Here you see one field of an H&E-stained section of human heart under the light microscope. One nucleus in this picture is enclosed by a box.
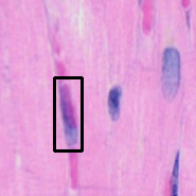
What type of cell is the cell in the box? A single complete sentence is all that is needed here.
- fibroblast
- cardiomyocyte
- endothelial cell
By its classification, the cell in the box is an endothelial cell.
